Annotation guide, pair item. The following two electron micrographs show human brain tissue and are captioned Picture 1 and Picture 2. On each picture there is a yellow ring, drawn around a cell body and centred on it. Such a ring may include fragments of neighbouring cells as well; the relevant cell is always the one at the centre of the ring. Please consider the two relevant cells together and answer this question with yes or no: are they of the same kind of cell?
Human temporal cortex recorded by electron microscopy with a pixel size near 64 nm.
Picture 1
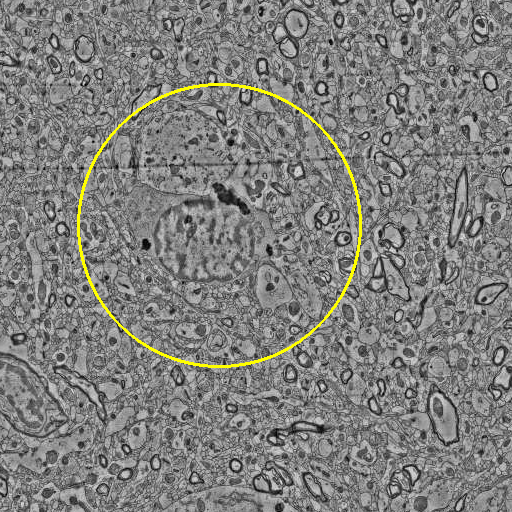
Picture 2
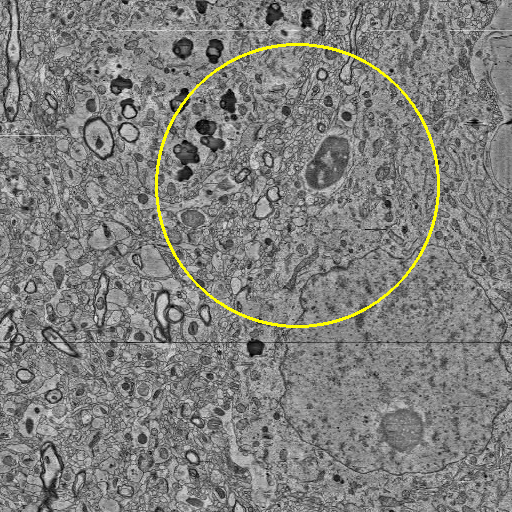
no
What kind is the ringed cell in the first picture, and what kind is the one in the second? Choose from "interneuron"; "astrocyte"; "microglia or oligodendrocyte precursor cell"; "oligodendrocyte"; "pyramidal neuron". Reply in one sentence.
The first cell is an oligodendrocyte; the second is a microglial cell or oligodendrocyte precursor cell.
